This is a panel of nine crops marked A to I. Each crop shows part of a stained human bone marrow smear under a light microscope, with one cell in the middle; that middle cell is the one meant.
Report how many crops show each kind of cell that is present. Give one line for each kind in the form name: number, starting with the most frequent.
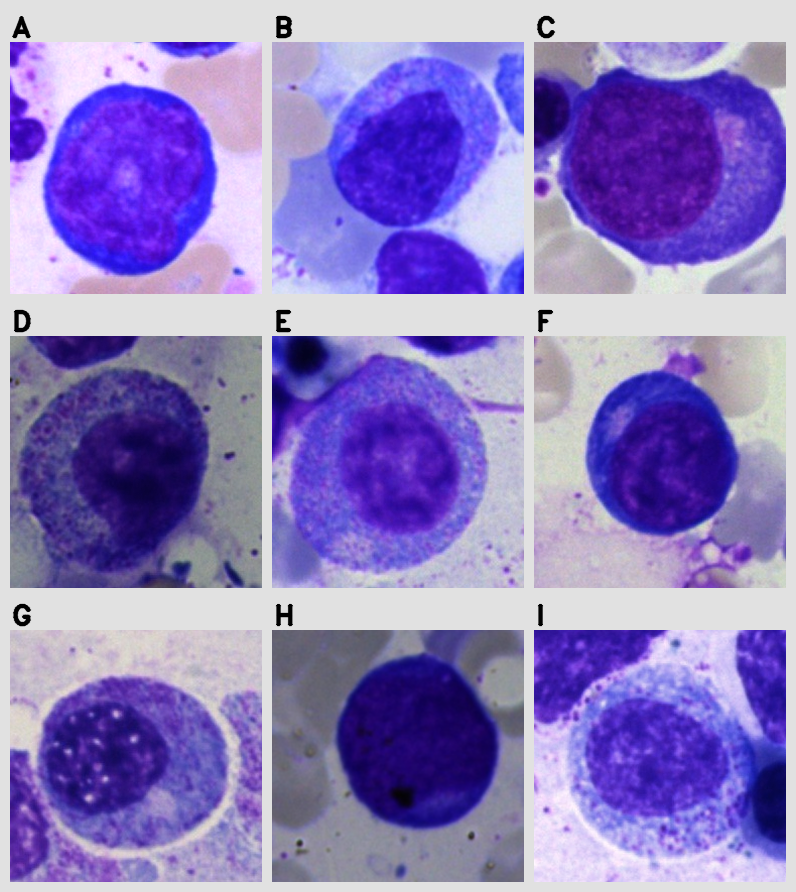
promyelocyte: 5
proerythroblast: 4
